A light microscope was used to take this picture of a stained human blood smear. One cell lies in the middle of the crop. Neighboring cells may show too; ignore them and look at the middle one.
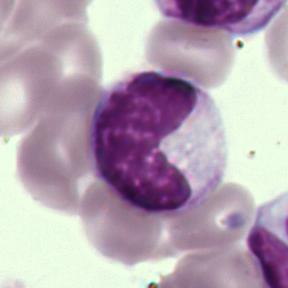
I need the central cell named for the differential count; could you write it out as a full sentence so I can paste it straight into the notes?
Present in the middle of the crop is a metamyelocyte.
